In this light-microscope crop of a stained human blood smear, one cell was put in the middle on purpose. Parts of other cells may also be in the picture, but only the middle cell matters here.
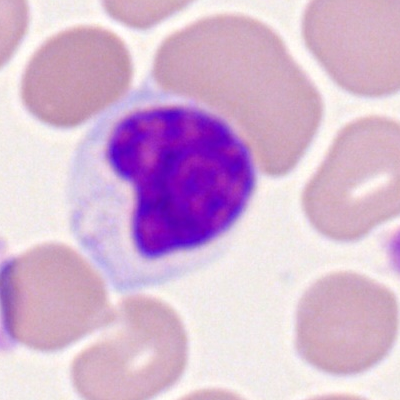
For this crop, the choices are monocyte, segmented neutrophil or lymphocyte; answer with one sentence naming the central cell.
The cell sitting right in the middle is a lymphocyte.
